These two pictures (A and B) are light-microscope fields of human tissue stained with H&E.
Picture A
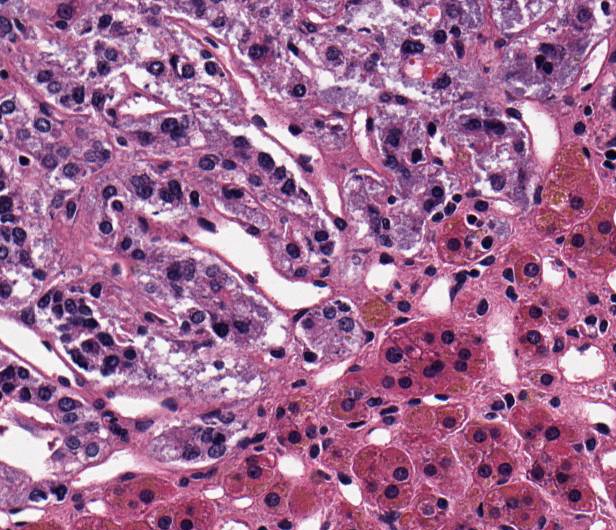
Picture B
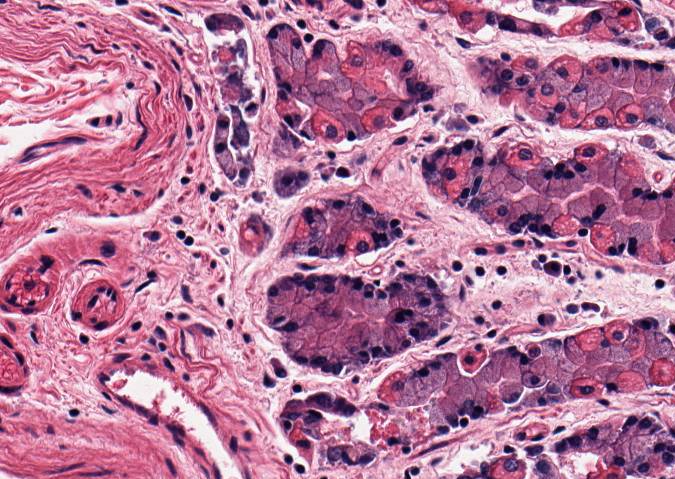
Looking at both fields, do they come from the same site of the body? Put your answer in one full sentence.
No, they differ: picture A comes from the adrenal gland, and picture B comes from the stomach.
